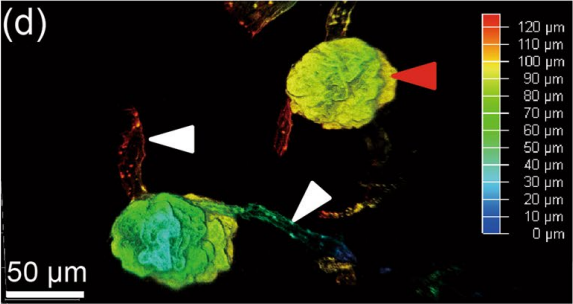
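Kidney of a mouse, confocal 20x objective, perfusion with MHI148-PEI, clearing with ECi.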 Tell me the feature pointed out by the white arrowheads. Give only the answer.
Efferent and afferent vessels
